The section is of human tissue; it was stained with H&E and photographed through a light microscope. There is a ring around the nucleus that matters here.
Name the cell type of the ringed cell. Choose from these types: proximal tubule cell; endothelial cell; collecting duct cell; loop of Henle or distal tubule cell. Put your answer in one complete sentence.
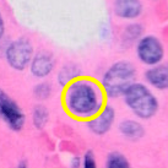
The ringed cell appears to be a collecting duct cell.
